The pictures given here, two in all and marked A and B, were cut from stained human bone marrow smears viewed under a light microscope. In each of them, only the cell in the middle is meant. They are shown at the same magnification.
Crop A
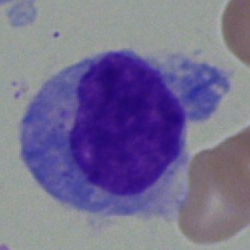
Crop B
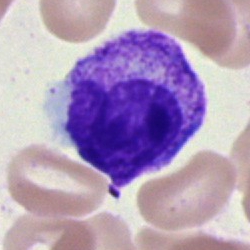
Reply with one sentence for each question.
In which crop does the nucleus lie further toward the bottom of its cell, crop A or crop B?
Seen within its cell, the nucleus in crop B lies further toward the bottom.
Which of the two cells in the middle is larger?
Crop A holds the larger cell; it covers about 1.5 times the area of the cell in crop B.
